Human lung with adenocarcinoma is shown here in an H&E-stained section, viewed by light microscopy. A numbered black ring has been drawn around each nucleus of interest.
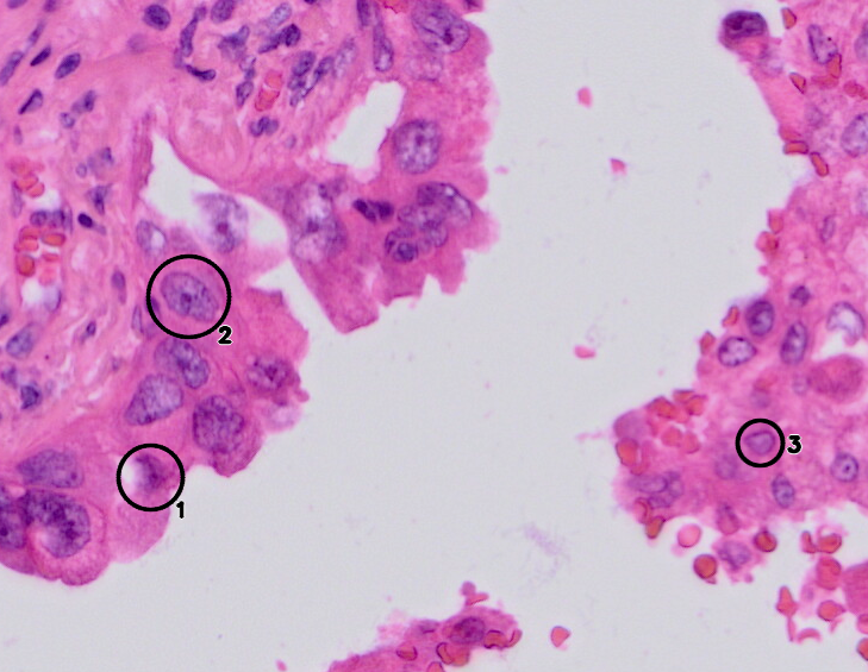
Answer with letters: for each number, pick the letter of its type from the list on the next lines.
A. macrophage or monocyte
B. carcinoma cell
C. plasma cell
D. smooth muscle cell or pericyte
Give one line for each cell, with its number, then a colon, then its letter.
1: B
2: B
3: A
